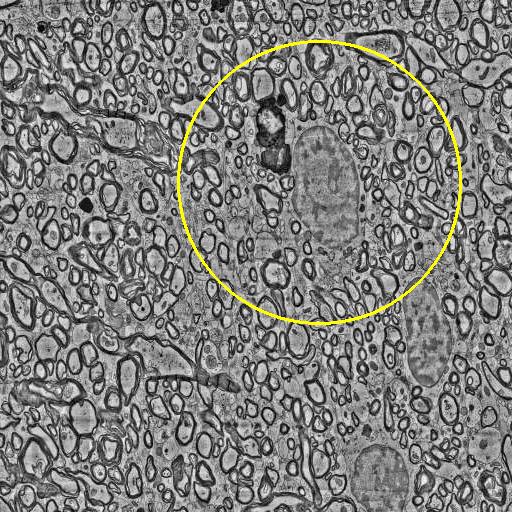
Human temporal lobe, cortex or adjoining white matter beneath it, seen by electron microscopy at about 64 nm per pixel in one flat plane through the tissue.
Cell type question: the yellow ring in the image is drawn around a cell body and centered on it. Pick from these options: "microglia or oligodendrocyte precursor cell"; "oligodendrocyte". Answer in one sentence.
The ringed cell at the center is an oligodendrocyte.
